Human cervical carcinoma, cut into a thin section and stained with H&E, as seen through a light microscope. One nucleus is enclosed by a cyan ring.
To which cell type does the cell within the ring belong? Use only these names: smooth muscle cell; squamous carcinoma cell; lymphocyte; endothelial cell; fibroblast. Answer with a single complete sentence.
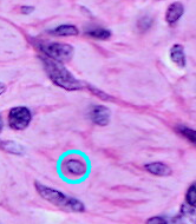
Placed in its cell category, the cell within the ring is a smooth muscle cell.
